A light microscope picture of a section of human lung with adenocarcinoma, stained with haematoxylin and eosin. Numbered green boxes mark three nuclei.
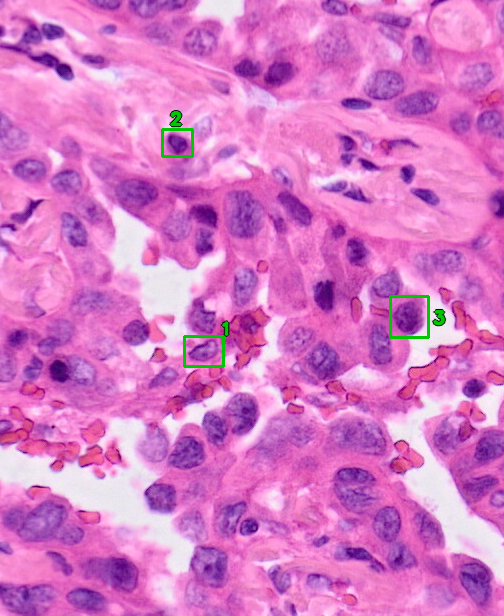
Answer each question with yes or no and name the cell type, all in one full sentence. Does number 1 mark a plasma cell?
No, number 1 identifies a macrophage or monocyte, not a plasma cell.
